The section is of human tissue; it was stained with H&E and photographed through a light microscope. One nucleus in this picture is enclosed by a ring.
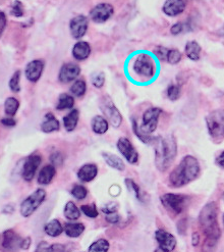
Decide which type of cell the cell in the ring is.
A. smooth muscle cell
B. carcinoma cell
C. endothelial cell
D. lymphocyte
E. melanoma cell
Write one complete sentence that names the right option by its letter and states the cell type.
Option D, identifying the cell in the ring as a lymphocyte, is correct.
